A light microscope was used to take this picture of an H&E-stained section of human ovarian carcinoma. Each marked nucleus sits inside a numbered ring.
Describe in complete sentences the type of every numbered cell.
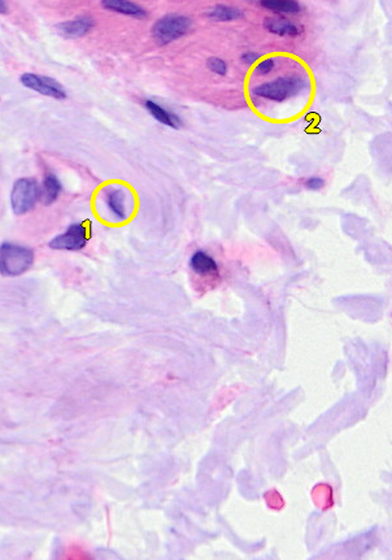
Cell 1 is a fibroblast and cell 2 is a smooth muscle cell.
